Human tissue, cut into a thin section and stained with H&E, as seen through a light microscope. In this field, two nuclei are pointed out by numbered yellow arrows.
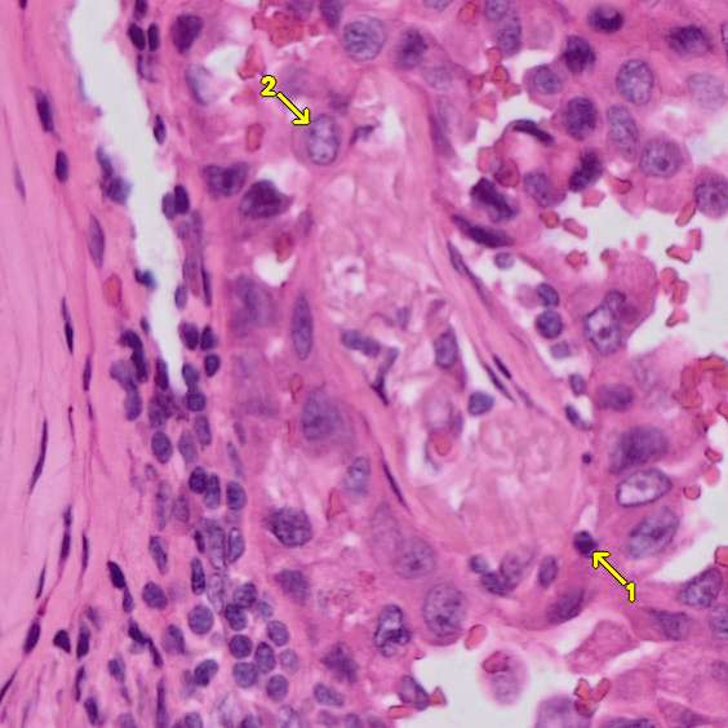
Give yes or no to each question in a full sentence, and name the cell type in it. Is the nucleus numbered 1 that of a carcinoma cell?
No, cell number 1 is a lymphocyte; it is not a carcinoma cell.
